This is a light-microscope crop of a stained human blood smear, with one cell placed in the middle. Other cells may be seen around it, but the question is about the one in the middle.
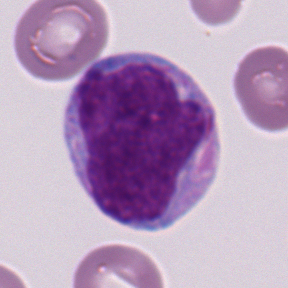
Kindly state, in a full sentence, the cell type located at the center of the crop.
This particular crop is centered on an atypical promyelocyte.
